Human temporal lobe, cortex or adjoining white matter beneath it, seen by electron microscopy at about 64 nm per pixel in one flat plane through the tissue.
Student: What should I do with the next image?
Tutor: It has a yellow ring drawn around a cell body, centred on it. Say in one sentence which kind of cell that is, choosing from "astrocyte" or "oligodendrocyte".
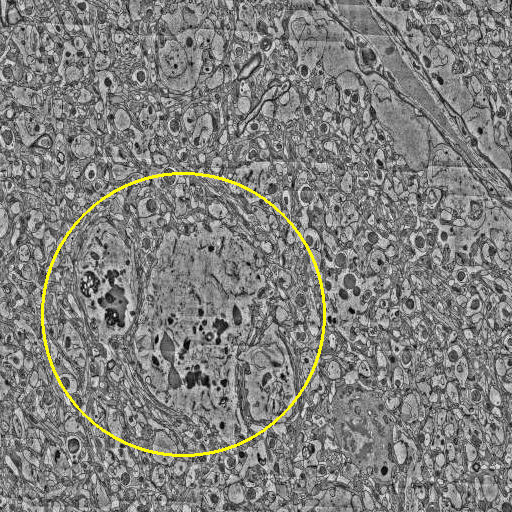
The ring's centre is occupied by an astrocyte.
